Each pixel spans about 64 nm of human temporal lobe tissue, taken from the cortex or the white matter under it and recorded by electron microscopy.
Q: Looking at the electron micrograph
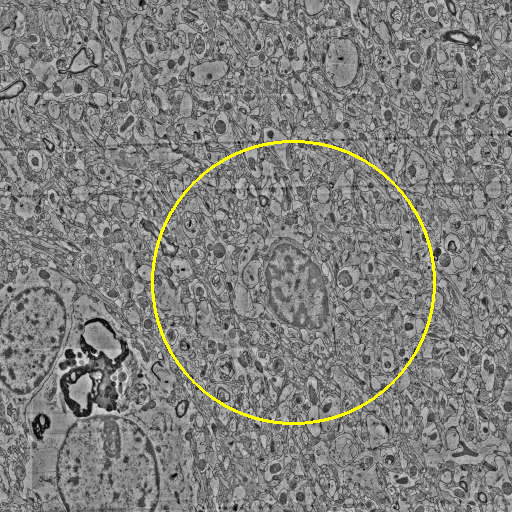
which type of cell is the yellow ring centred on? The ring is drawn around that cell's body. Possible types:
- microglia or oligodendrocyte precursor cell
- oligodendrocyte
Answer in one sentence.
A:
The yellow ring is centred on an oligodendrocyte.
